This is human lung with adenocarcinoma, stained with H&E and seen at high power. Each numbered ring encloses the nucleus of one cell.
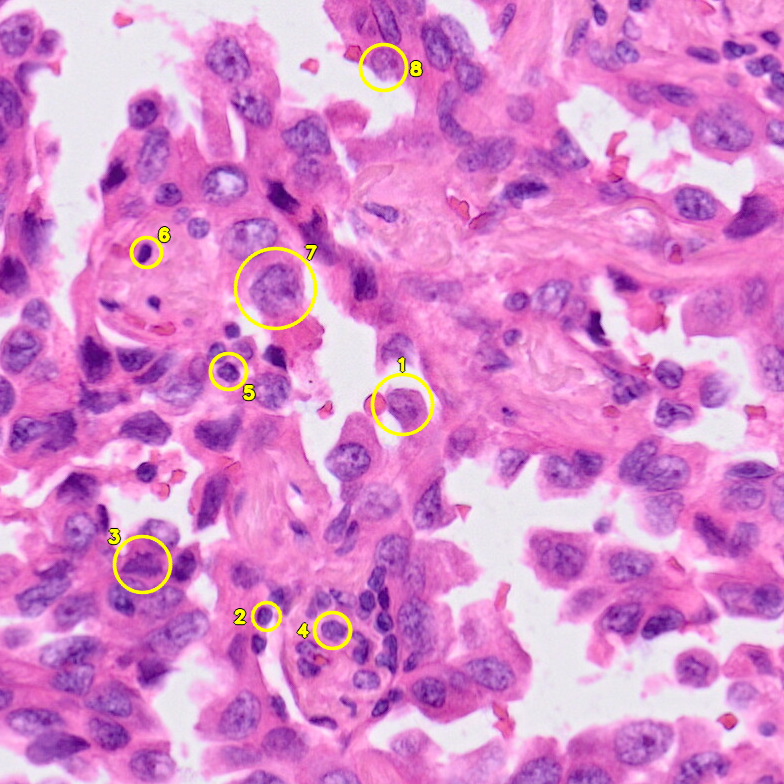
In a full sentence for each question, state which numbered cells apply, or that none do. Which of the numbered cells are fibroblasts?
None of the numbered nuclei belong to fibroblasts.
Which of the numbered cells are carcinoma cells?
Into the category of carcinoma cells fall the cells numbered 1, 3, 7 and 8.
